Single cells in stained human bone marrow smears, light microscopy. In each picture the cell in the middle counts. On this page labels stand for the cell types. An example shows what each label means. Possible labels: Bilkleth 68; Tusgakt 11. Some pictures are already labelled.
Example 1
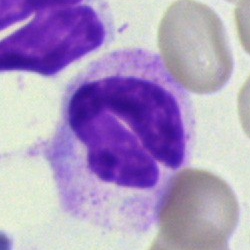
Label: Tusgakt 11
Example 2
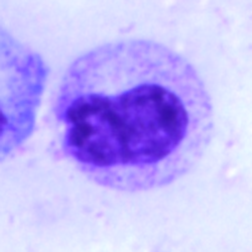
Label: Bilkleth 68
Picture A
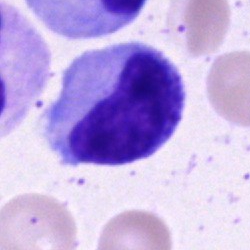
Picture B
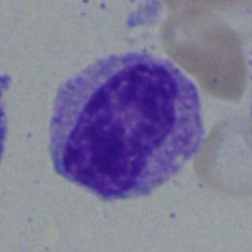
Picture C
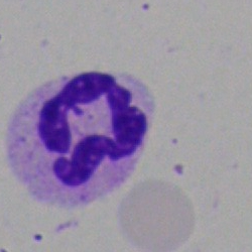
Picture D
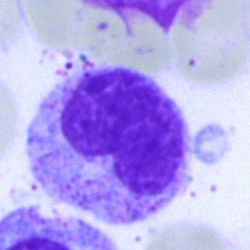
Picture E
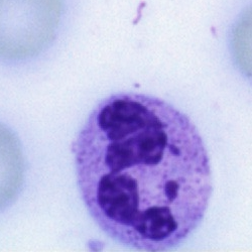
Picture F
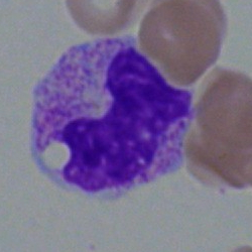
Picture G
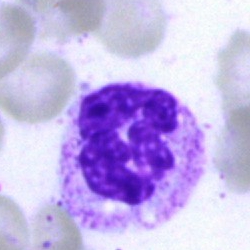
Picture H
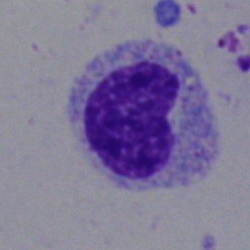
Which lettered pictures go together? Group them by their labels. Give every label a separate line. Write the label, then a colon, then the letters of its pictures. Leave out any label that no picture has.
Bilkleth 68: A, B, D, F, H
Tusgakt 11: C, E, G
